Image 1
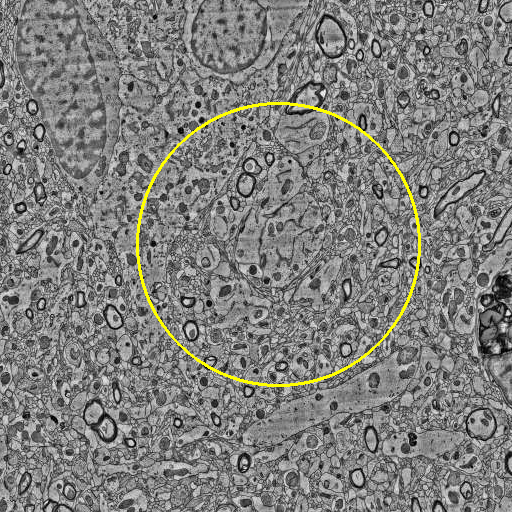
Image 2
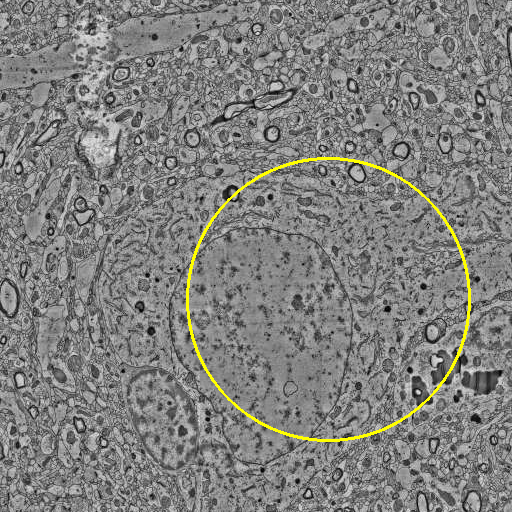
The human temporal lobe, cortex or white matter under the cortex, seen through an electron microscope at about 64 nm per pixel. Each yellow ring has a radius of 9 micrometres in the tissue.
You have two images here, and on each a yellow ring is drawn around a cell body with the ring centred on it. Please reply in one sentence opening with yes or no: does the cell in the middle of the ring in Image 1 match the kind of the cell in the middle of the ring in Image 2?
Yes, the two images show cells of one kind at the centres of their rings.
